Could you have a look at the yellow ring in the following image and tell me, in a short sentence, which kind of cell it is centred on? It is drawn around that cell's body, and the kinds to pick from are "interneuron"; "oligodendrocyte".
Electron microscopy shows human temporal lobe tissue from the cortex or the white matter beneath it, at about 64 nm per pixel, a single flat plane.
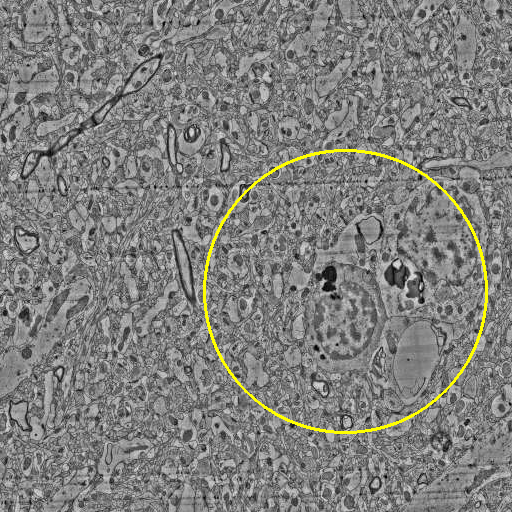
The ring is centred on the body of an oligodendrocyte.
